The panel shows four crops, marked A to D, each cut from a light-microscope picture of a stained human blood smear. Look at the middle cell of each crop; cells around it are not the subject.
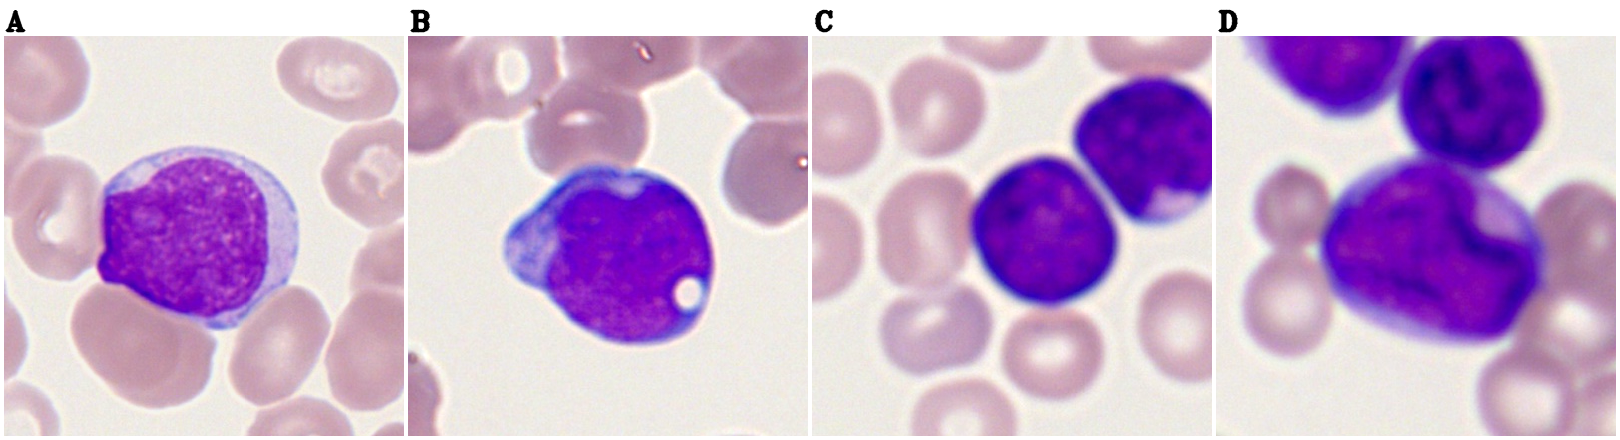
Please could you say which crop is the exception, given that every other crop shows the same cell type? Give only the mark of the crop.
A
